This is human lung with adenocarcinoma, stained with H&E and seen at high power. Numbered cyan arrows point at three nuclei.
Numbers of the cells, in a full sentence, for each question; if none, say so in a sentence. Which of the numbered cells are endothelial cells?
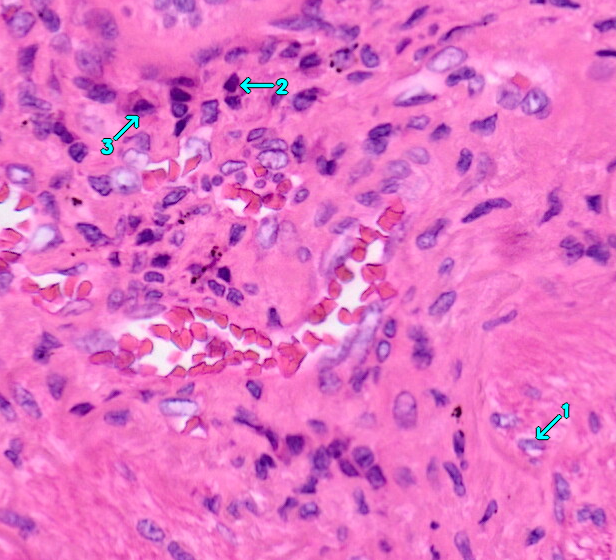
It is true of every numbered cell that it is not one of the endothelial cells.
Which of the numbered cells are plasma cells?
The cells numbered 2 and 3 fall into the category of plasma cells.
